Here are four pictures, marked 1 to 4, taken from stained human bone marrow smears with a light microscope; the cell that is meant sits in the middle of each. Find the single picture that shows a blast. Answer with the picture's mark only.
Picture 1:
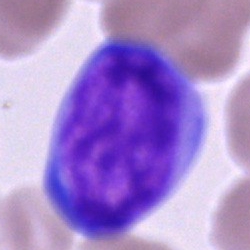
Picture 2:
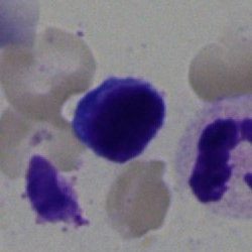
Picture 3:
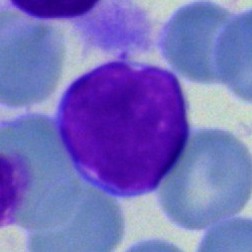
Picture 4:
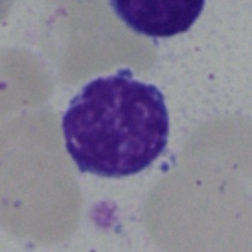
1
